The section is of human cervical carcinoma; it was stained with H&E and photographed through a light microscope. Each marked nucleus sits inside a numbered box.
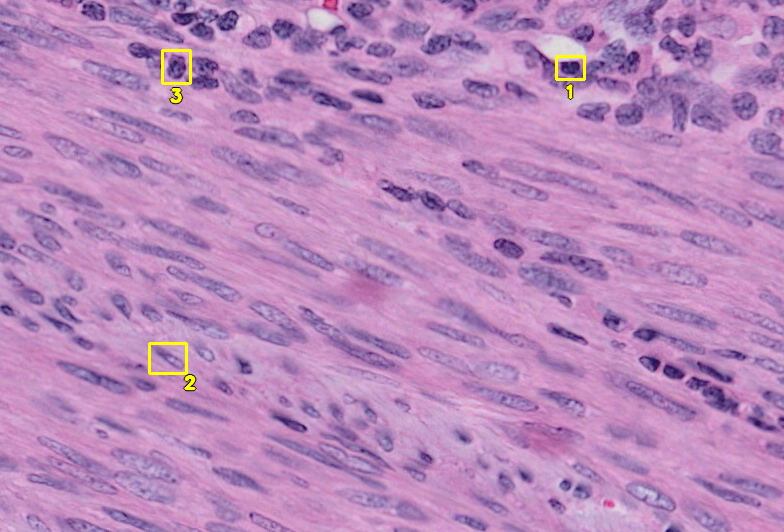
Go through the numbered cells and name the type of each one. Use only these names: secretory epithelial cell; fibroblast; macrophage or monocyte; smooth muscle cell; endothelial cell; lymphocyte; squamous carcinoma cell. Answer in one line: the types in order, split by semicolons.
lymphocyte; smooth muscle cell; lymphocyte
